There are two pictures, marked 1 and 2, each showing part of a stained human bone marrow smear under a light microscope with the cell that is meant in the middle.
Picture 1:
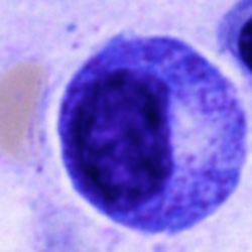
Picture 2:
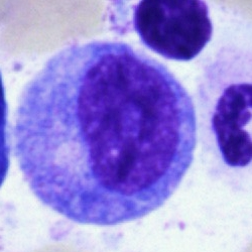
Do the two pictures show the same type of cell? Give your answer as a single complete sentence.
Yes; the cells in both pictures are promyelocytes.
